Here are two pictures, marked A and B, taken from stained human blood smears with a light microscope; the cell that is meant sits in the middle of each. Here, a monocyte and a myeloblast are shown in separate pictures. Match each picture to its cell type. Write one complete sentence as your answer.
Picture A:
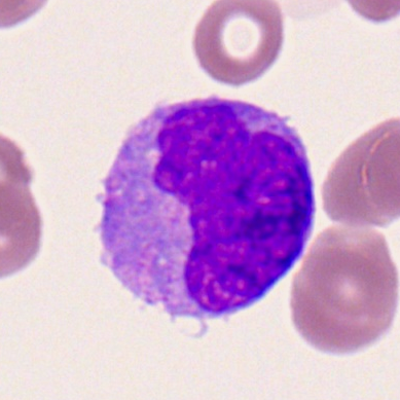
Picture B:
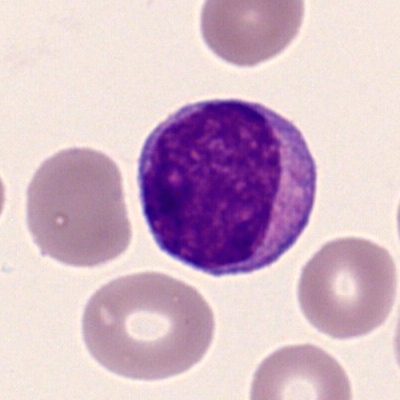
Picture A is of a monocyte, and picture B is of a myeloblast.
